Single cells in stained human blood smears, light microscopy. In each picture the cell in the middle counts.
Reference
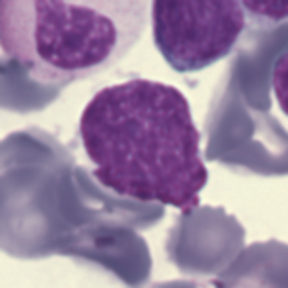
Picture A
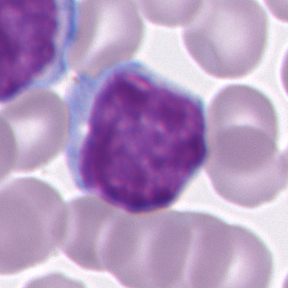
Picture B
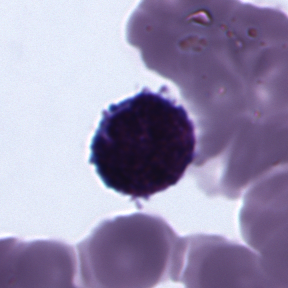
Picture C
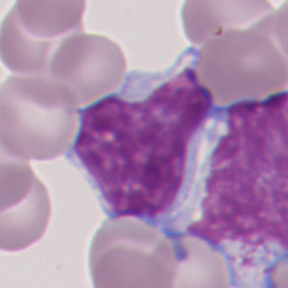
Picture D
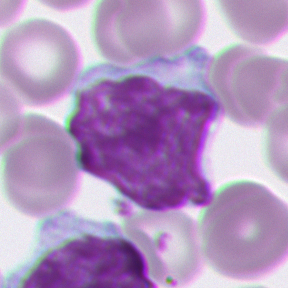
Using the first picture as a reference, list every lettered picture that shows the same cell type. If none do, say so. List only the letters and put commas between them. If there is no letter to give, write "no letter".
B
